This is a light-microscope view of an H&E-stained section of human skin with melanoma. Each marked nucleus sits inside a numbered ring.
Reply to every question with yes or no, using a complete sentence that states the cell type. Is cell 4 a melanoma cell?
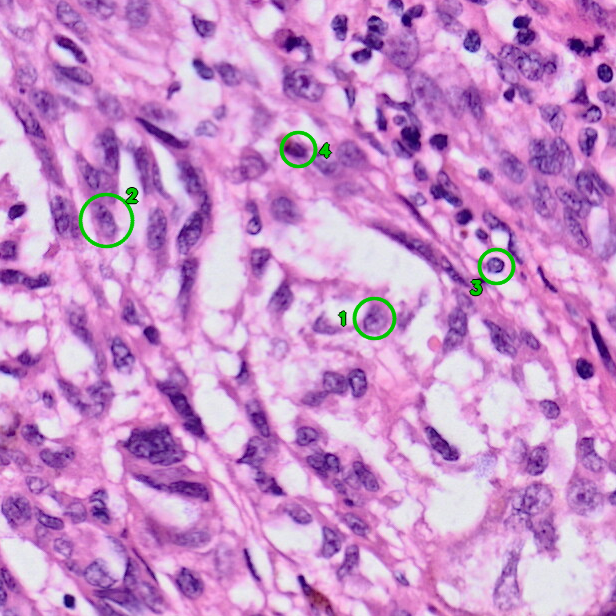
Yes, the cell carrying number 4 is a melanoma cell.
